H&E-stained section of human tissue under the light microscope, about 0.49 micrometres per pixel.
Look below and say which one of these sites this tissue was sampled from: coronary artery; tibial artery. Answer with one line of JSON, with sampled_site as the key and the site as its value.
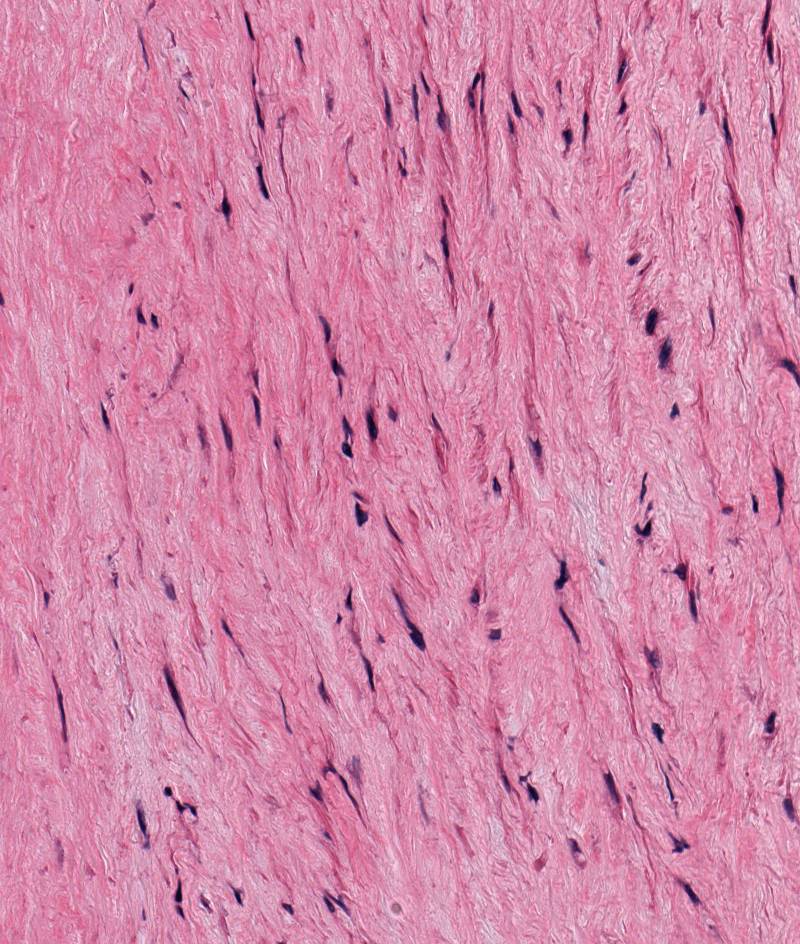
{"sampled_site": "coronary artery"}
